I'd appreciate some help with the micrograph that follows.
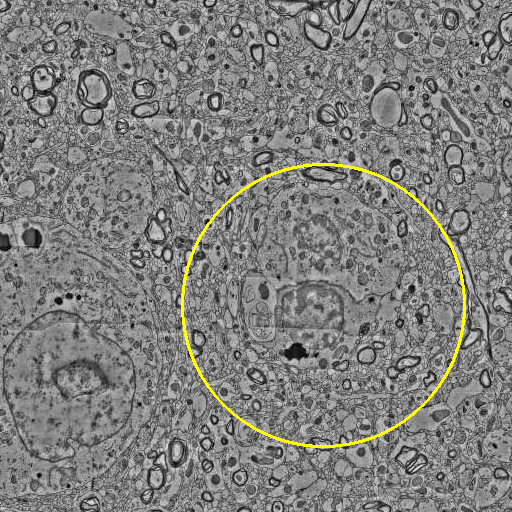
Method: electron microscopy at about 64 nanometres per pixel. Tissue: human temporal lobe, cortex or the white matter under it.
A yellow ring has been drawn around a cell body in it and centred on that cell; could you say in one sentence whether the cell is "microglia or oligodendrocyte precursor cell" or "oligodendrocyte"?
It is an oligodendrocyte at the centre of the ring.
